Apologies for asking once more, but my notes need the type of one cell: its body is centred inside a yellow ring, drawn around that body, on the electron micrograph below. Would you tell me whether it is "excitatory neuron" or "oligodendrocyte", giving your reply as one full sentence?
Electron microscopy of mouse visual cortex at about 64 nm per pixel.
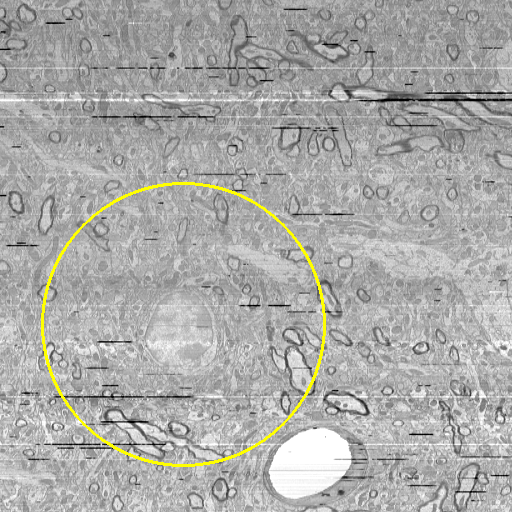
The cell that the yellow ring is centred on is an oligodendrocyte in this micrograph.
